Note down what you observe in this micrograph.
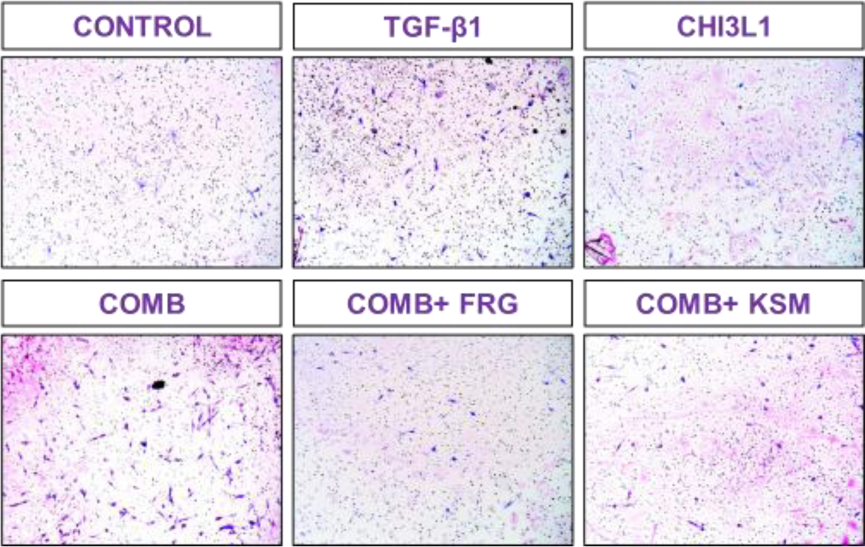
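Purple cells lie singly upon it, mostly elongated and spindle-shaped with tapering ends, some more star-like with short extensions. Their number differs greatly between fields: some fields hold only a few scattered cells, while in others many crowded spindle cells cover much of the membrane, with denser pink staining at the edges.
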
